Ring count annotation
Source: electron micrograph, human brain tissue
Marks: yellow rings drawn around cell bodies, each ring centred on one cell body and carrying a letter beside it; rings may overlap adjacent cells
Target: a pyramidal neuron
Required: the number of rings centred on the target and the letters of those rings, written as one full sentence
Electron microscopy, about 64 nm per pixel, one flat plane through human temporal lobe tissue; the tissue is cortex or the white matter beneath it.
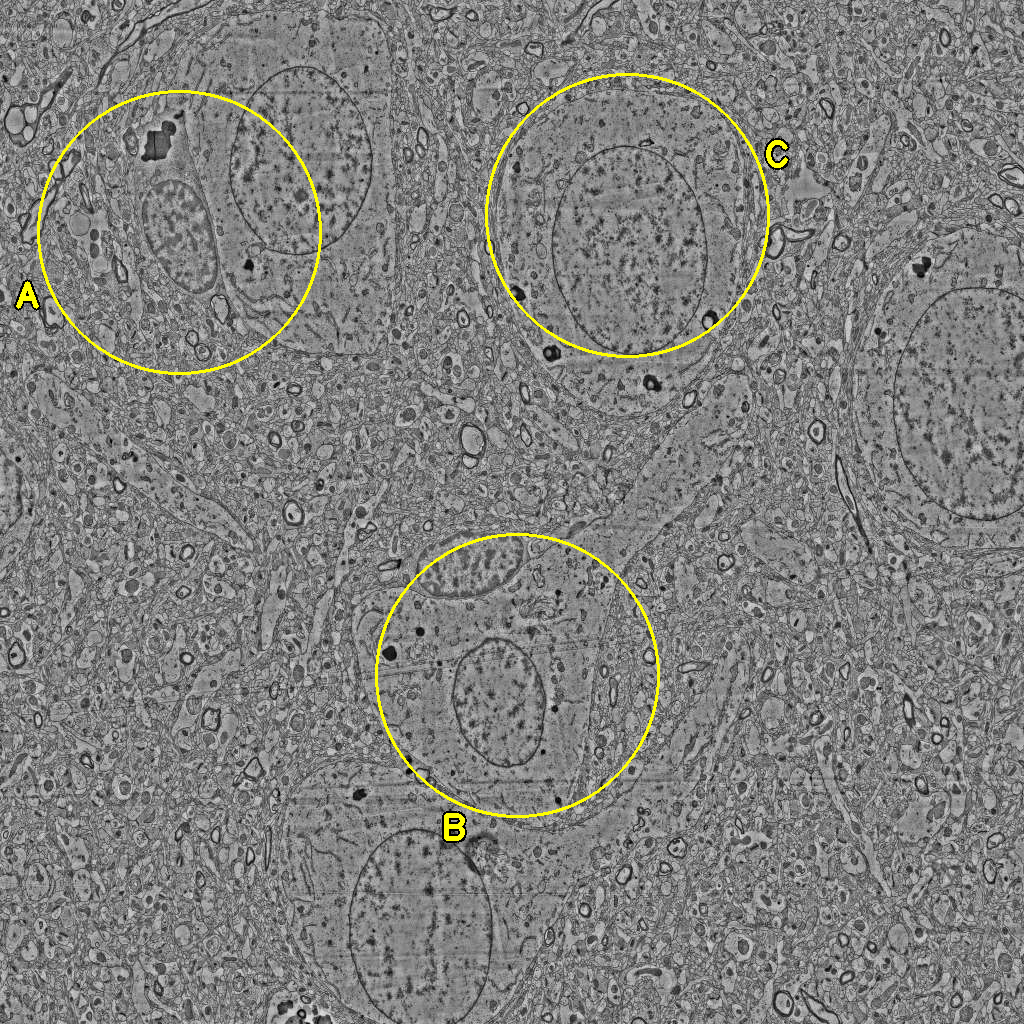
There are two rings centred on a pyramidal neuron each, and they are the ones with the letters B and C.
